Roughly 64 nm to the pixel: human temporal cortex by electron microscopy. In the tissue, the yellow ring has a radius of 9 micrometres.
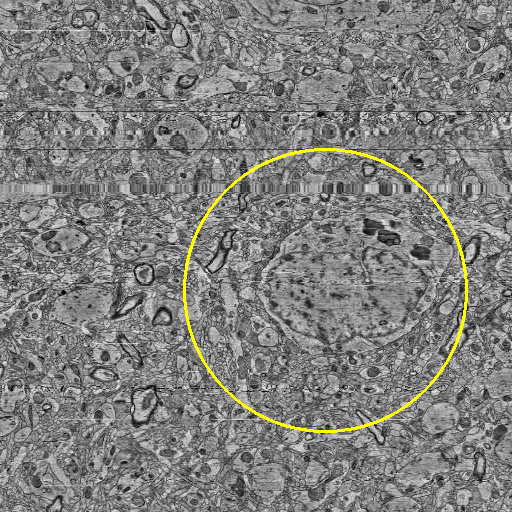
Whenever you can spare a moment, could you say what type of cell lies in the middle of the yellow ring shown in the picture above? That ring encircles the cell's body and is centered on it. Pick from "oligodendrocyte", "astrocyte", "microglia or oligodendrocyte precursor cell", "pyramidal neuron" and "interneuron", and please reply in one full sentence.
The cell whose body sits at the middle of the yellow ring is an interneuron.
